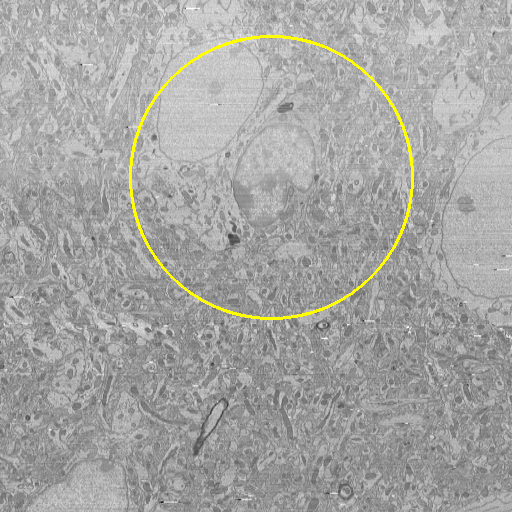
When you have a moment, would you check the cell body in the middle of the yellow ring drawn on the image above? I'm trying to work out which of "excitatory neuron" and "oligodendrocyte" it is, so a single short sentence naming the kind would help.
This cell body belongs to an oligodendrocyte.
